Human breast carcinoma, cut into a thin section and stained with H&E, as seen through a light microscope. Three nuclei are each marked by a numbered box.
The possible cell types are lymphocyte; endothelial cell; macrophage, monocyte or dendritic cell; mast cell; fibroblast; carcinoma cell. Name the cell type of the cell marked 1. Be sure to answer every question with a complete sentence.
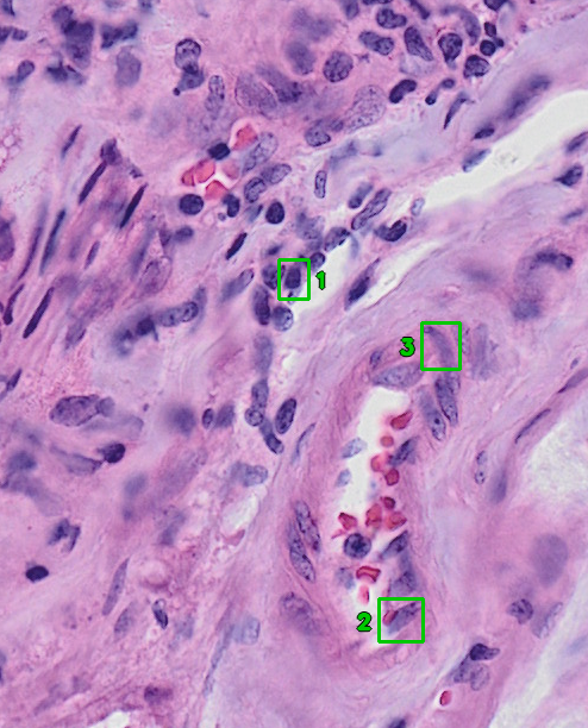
Corresponding to a lymphocyte is the cell labelled 1.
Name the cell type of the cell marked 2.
The cell identified by number 2 is an endothelial cell.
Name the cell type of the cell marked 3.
The identity of cell 3 is that of an endothelial cell.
